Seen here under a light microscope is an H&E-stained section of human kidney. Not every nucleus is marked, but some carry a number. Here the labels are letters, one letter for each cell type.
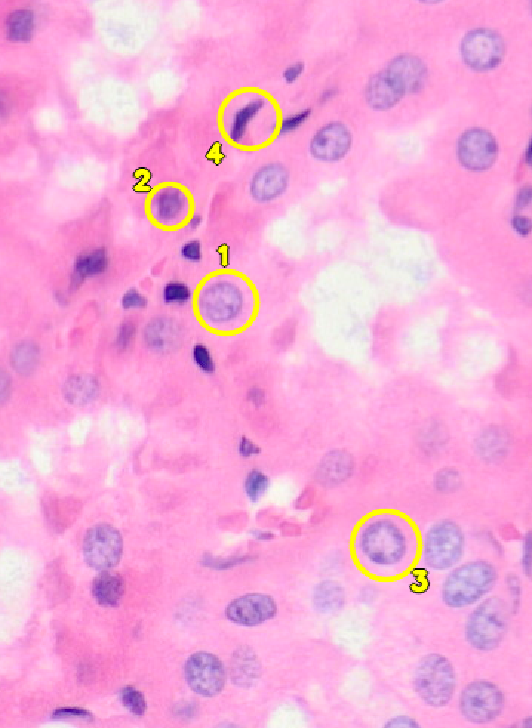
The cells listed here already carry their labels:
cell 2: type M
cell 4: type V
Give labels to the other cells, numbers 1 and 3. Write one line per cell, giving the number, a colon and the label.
1: type M
3: type M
